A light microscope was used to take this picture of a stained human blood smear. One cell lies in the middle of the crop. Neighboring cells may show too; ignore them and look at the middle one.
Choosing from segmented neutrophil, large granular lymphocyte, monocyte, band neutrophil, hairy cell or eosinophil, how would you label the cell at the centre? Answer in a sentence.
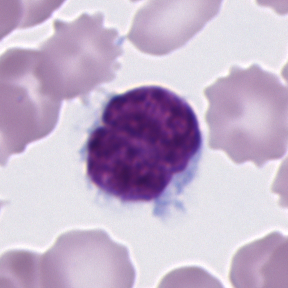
The cell in the middle of the field of view is a hairy cell.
